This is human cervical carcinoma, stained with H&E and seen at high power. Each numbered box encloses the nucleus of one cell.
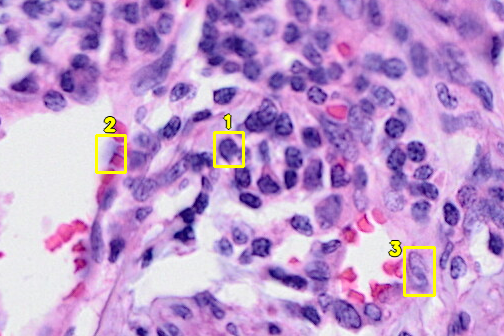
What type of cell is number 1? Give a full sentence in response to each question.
Marked with the number 1, this cell is a lymphocyte.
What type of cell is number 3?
The cell assigned the number 3 is an endothelial cell.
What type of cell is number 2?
The marked cell bearing number 2 is an endothelial cell.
